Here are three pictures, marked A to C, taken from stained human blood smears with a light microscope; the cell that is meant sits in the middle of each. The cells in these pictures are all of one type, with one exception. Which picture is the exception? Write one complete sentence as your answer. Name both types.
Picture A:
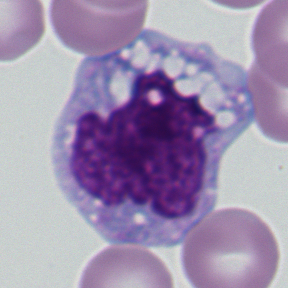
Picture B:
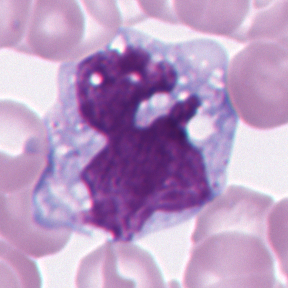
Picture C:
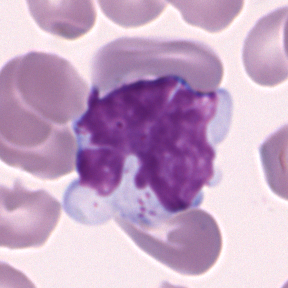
Picture C is the odd one out: it shows a large granular lymphocyte, while the others show monocytes.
